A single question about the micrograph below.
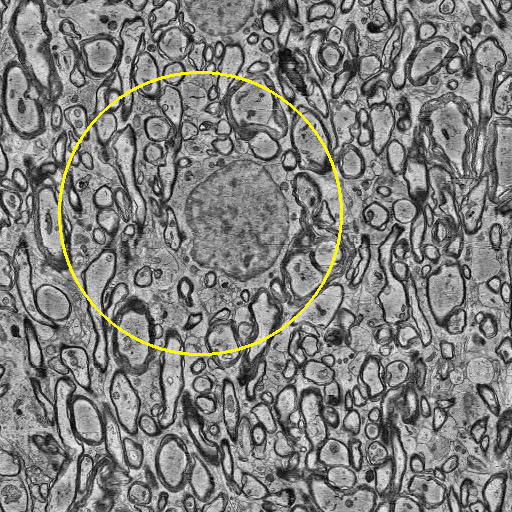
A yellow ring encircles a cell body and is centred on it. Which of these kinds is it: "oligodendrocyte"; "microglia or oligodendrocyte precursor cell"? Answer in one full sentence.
The cell body at the centre of the yellow ring belongs to an oligodendrocyte.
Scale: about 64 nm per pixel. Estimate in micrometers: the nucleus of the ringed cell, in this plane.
About 8 micrometres by about 7 micrometres in this plane.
